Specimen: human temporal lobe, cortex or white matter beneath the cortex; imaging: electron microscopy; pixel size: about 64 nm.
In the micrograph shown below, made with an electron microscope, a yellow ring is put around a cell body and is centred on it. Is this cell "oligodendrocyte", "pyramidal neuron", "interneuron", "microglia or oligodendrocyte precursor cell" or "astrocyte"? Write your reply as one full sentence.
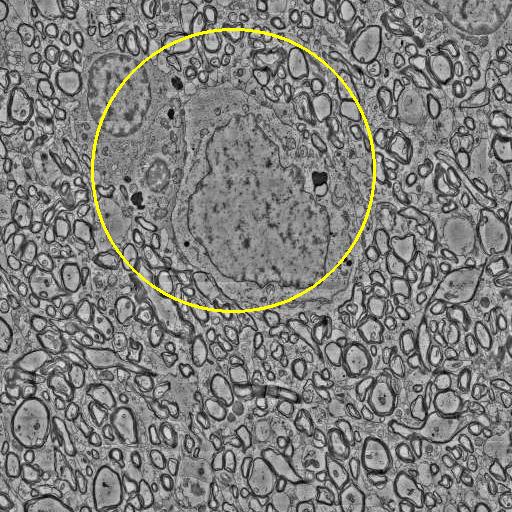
In the micrograph, a pyramidal neuron is the cell at the centre of the yellow ring.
